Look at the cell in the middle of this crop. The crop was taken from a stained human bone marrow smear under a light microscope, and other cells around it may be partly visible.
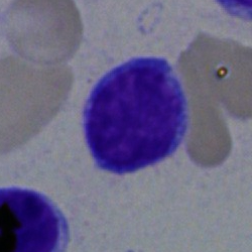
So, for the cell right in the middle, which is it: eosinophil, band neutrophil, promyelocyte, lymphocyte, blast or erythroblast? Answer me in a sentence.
In this crop, the cell at the very middle is a lymphocyte.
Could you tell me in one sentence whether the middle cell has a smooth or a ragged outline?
Its periphery is smooth, and no projections arise from it.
